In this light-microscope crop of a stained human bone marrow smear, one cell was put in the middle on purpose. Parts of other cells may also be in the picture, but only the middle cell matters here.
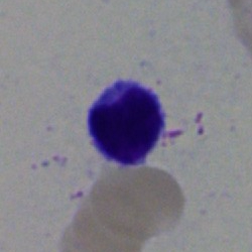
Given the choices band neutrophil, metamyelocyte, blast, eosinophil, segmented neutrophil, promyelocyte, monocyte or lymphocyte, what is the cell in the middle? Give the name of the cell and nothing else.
lymphocyte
